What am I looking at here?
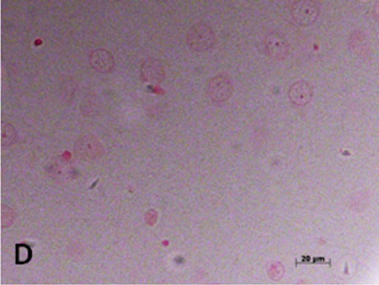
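Many round, pale cell profiles with thin outlines are spread evenly over a light pink background, several with a small dark central dot. Only small, scattered red dots and a few tiny stained profiles are present, without elongated darkly stained cells. The tissue looks more compact and evenly textured than a spongy meshwork.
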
